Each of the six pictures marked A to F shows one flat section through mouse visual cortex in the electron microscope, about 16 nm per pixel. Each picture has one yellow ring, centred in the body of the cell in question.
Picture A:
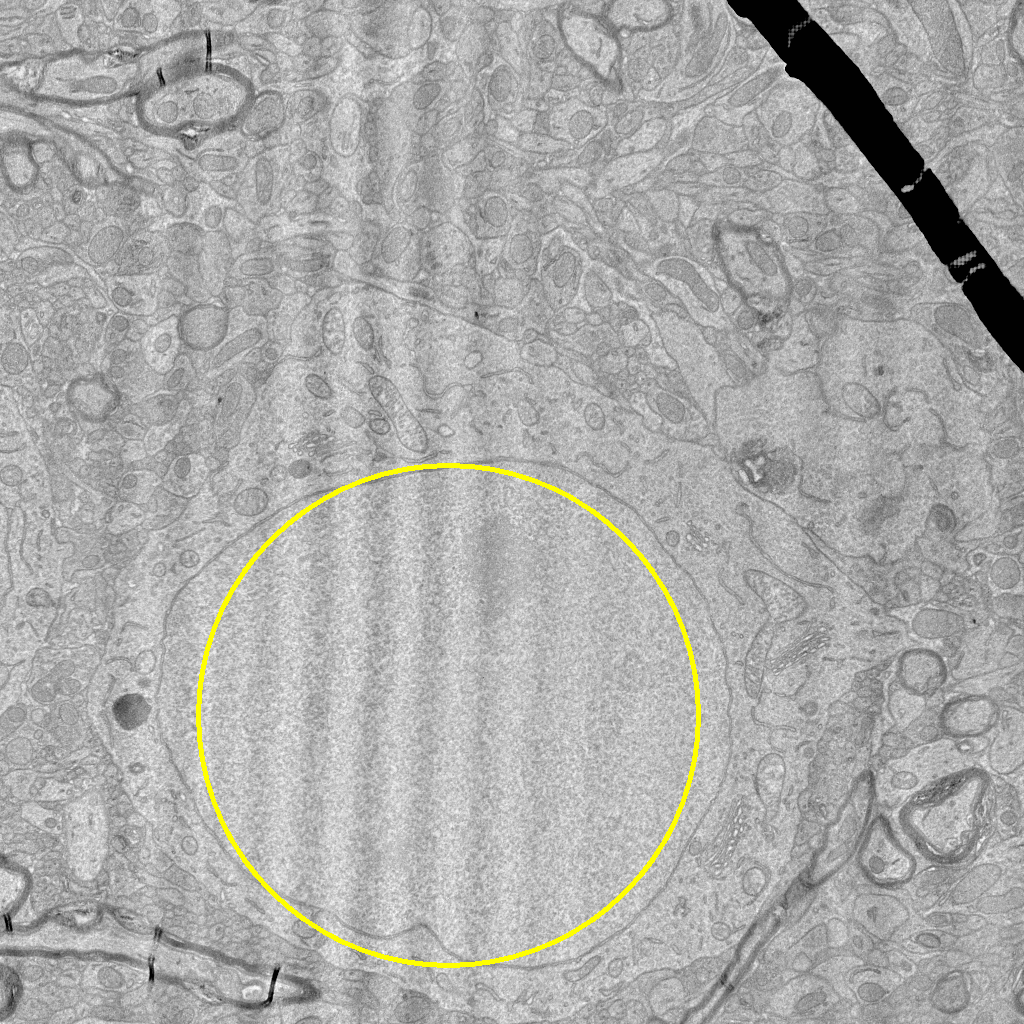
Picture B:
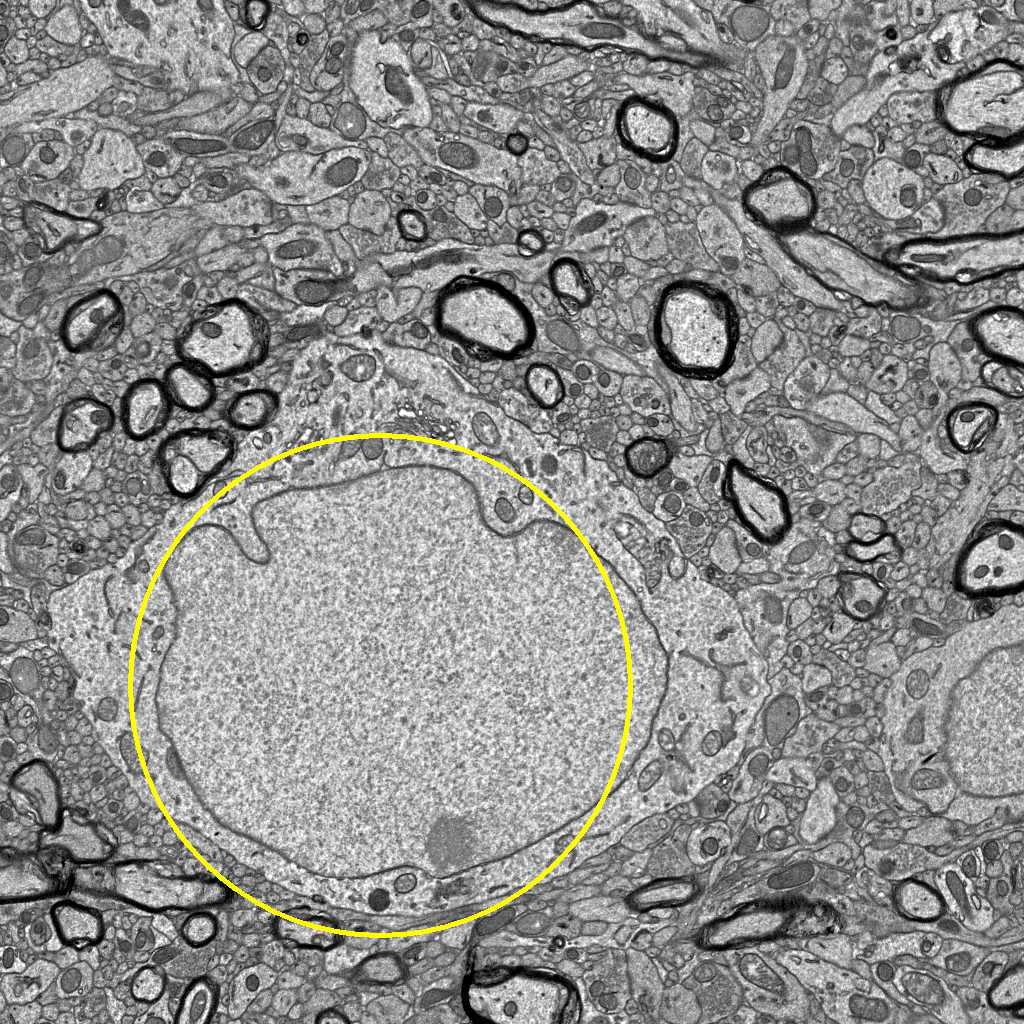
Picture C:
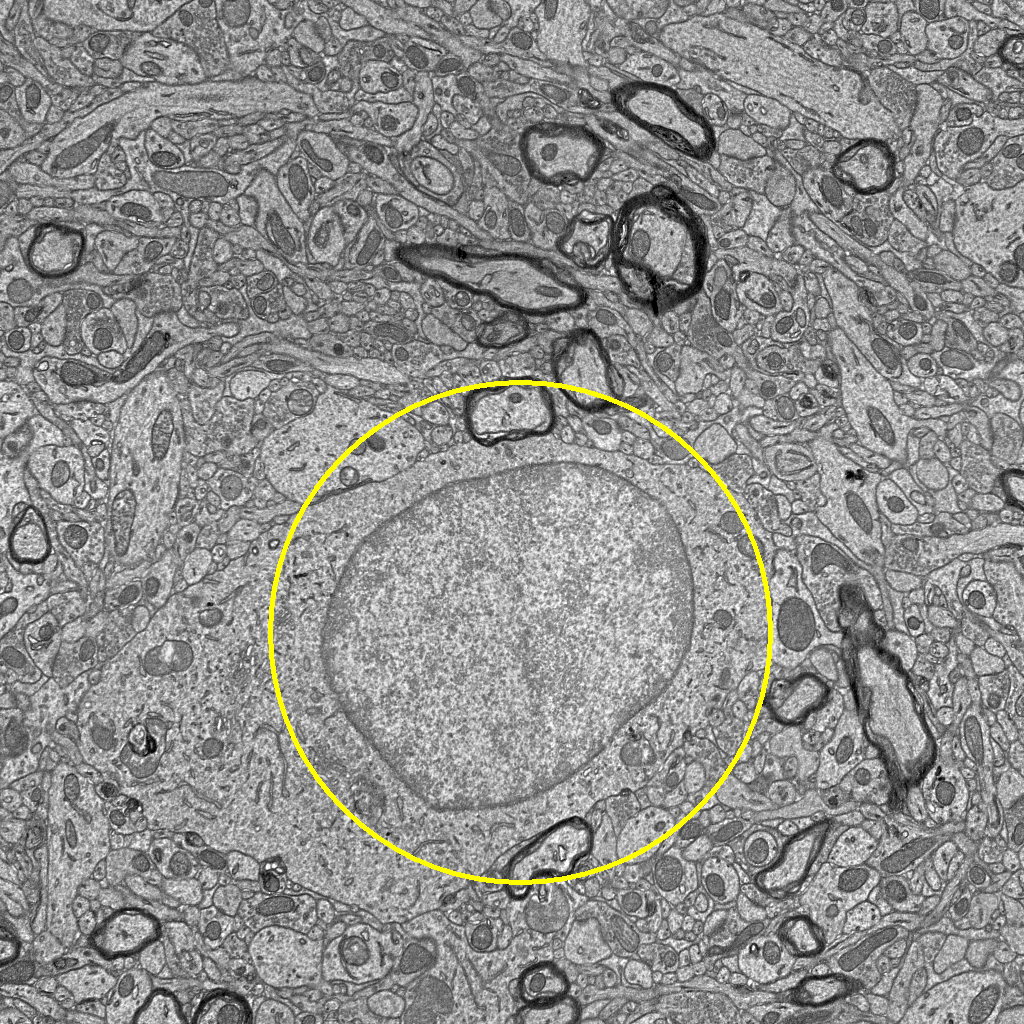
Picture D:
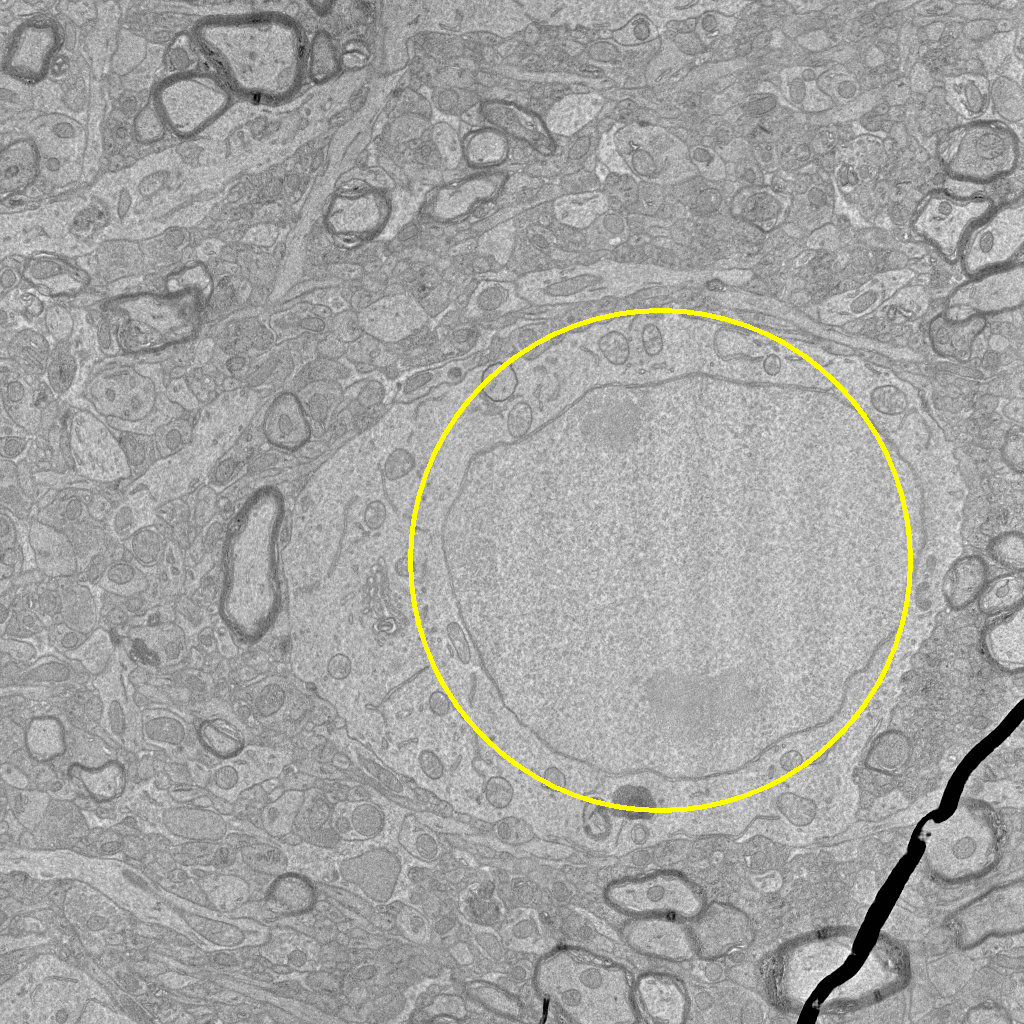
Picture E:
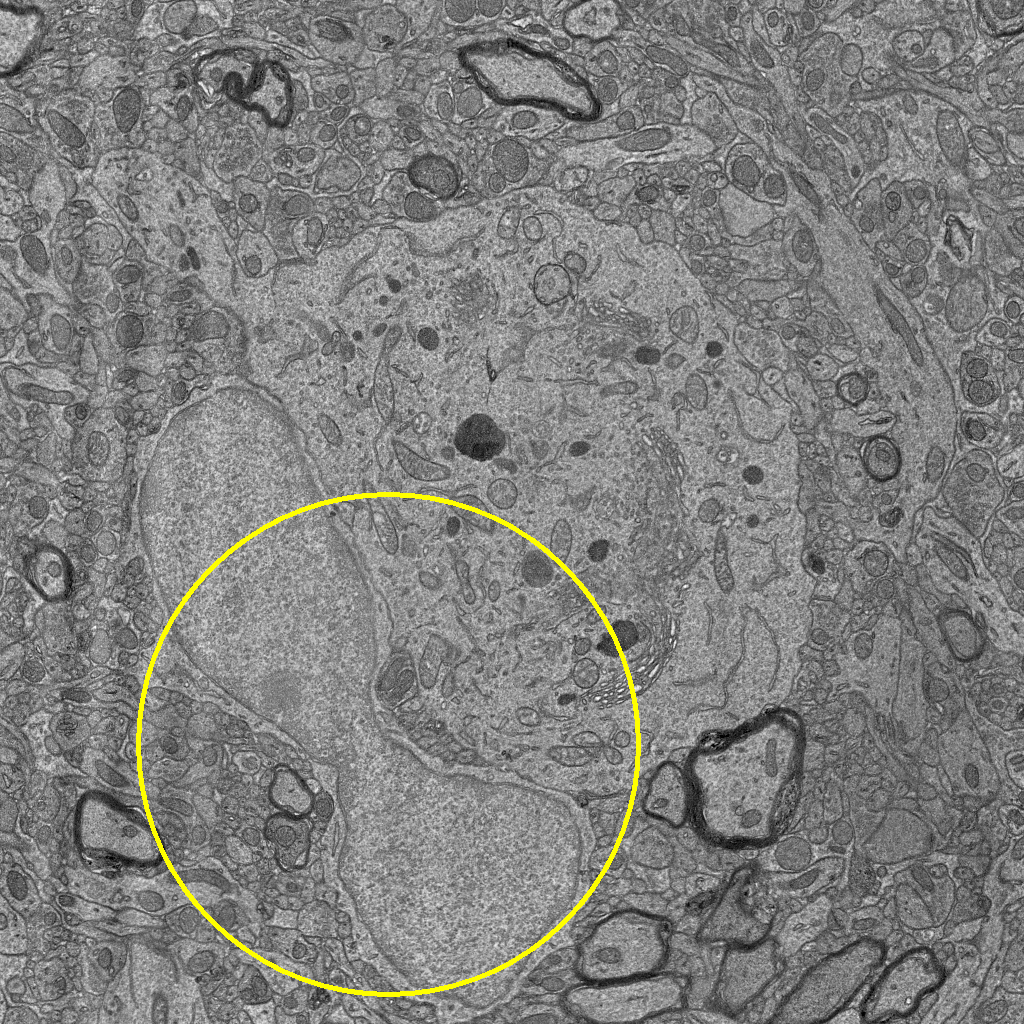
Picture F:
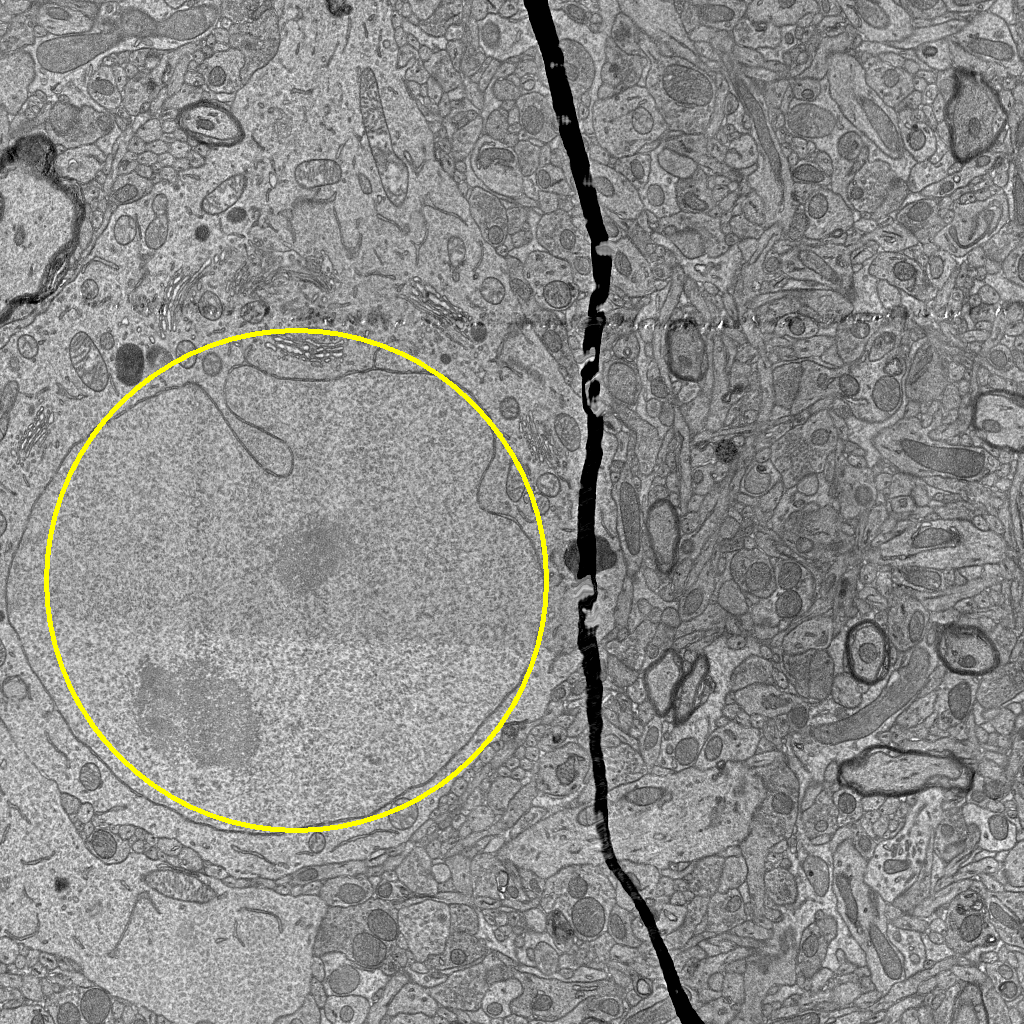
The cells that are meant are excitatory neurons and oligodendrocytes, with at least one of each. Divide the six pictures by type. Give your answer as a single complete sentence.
Pictures A, B, D and F show excitatory neurons; pictures C and E show oligodendrocytes.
